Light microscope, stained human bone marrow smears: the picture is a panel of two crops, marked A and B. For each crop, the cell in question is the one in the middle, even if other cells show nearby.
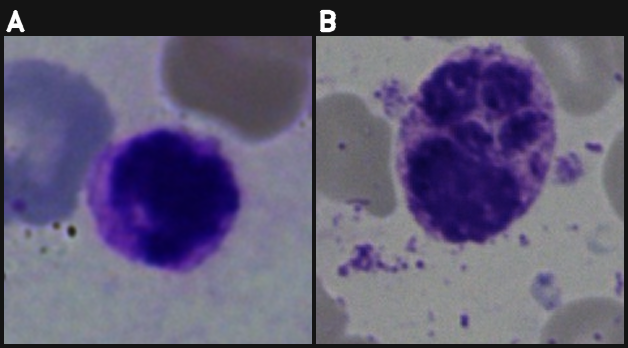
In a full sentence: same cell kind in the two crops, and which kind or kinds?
Yes, in both crops the centred cells are basophils.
